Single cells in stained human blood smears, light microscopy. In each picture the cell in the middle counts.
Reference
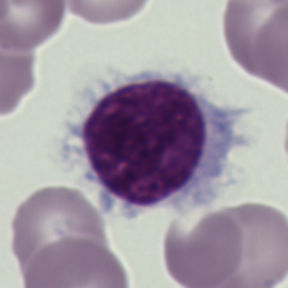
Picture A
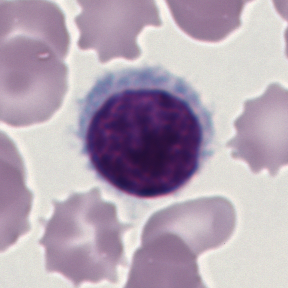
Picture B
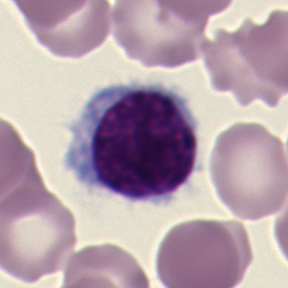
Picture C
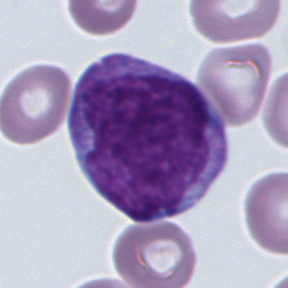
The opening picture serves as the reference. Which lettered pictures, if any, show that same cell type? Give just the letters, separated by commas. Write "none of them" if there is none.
A, B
